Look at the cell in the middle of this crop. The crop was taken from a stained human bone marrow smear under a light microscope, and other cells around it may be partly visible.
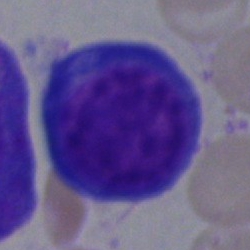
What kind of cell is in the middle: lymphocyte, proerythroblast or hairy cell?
proerythroblast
